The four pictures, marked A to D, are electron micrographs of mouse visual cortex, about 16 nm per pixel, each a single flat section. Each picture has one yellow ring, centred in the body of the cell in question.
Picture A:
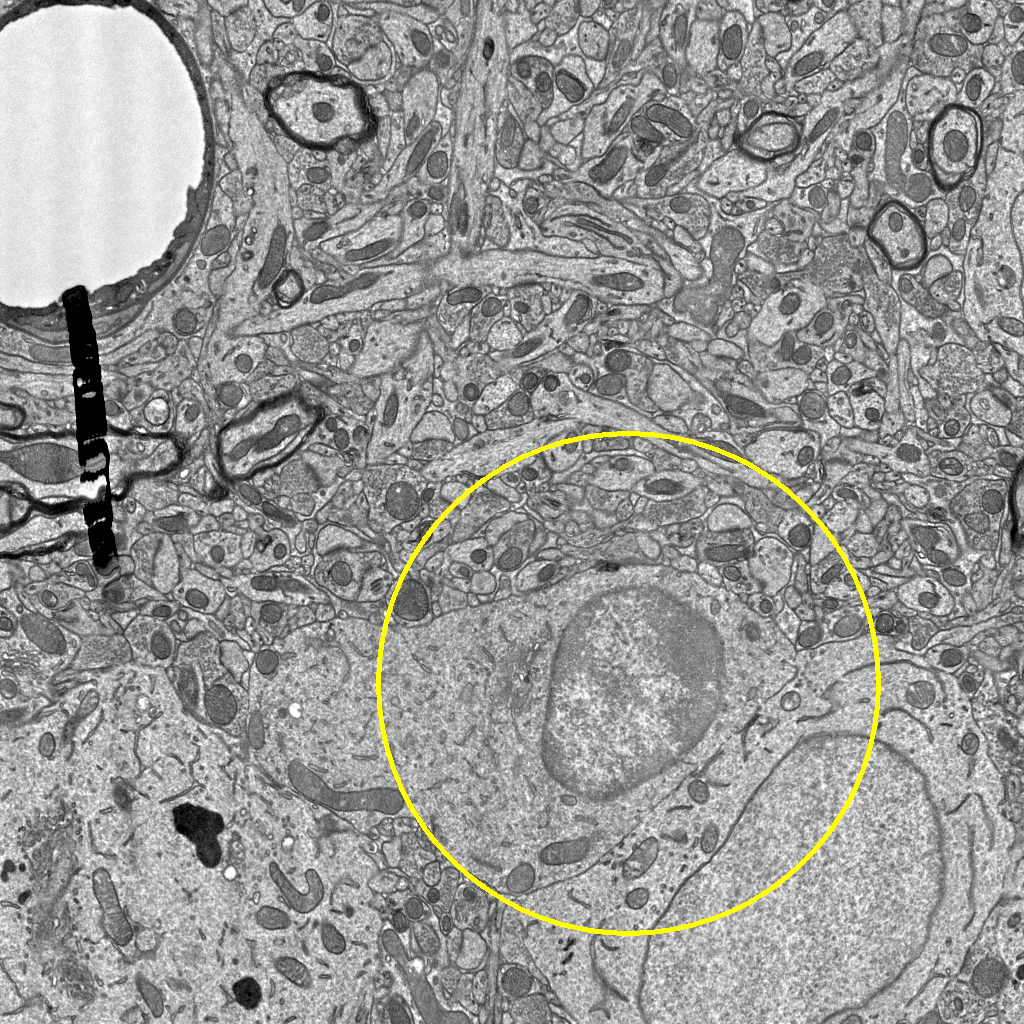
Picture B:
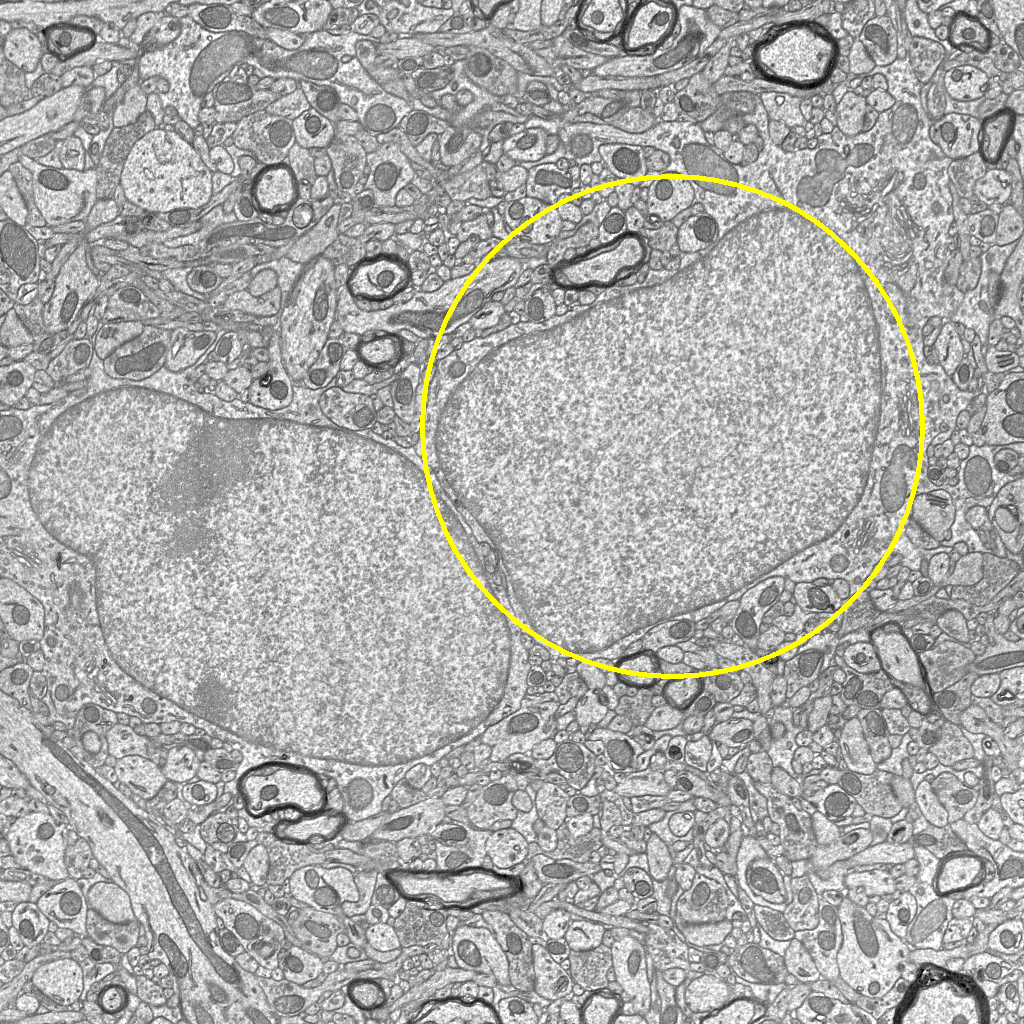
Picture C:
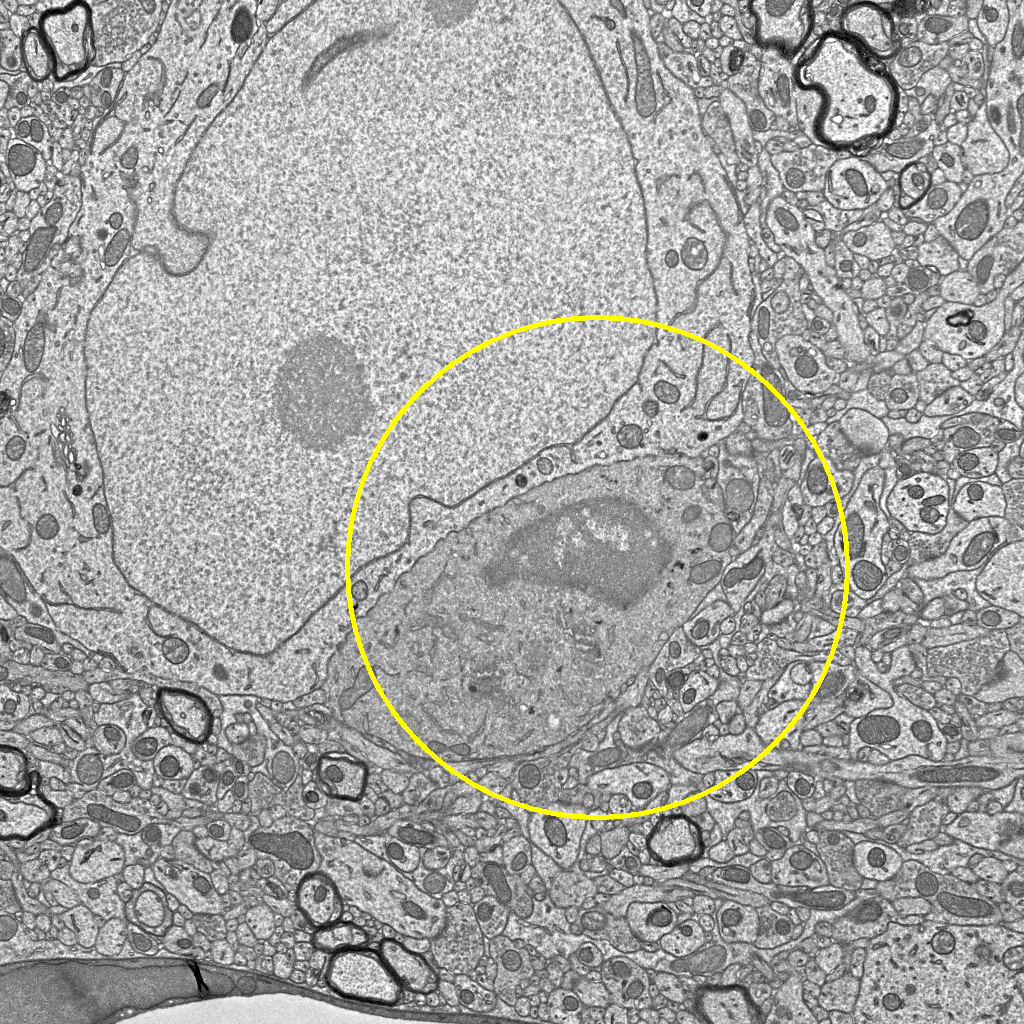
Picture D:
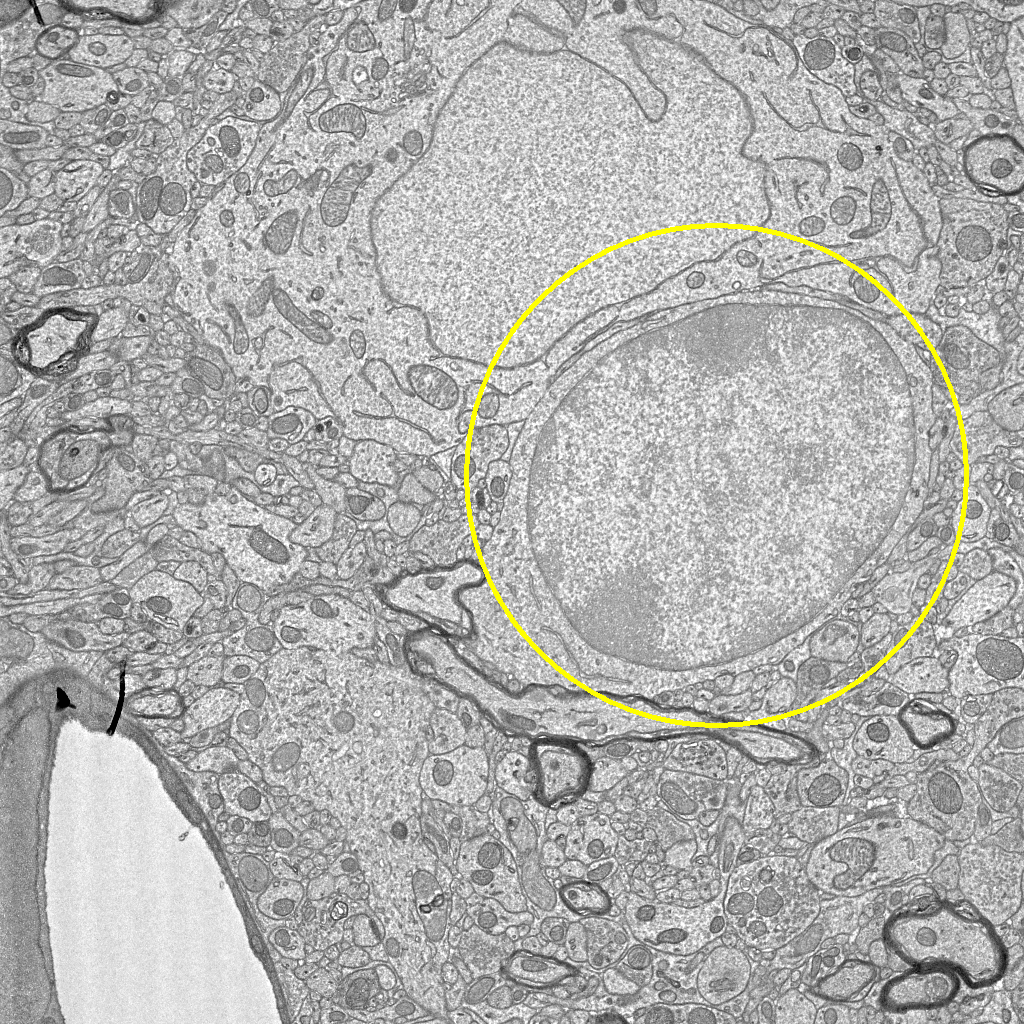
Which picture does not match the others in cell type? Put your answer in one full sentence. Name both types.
Unlike the rest, which show oligodendrocytes, picture B shows an astrocyte.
